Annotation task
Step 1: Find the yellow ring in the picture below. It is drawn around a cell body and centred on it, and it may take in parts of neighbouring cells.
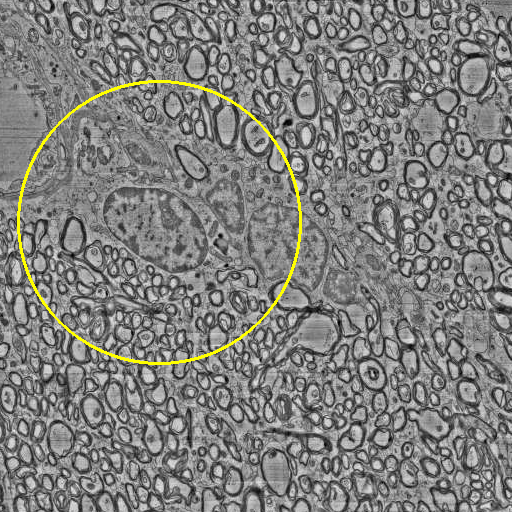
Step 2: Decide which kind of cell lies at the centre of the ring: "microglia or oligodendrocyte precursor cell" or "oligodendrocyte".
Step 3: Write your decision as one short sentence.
The kind of cell at the ring's centre is a microglial cell or oligodendrocyte precursor cell.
